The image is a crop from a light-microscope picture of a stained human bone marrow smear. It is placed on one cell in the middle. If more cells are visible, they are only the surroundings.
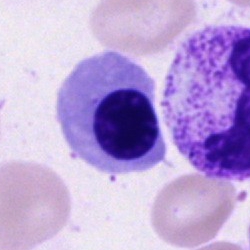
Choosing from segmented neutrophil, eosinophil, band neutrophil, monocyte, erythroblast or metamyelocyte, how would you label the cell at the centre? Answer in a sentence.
The middle position in this crop is taken by an erythroblast.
